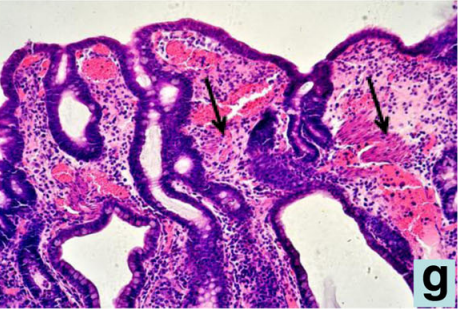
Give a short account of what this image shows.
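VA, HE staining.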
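This is intestinal mucosa with elongated glands lined by columnar epithelium separated by lamina propria. Scattered inflammatory and lymphoid cells lie in the stroma and a denser lymphoid cluster sits between glands.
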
